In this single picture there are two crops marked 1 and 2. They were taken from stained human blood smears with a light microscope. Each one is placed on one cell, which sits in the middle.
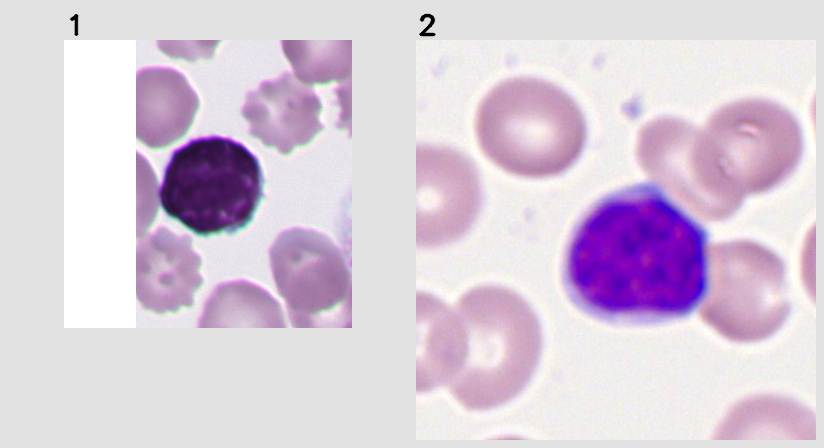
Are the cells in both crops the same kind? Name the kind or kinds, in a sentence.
Yes, the cells found in the middle of both crops are lymphocytes.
